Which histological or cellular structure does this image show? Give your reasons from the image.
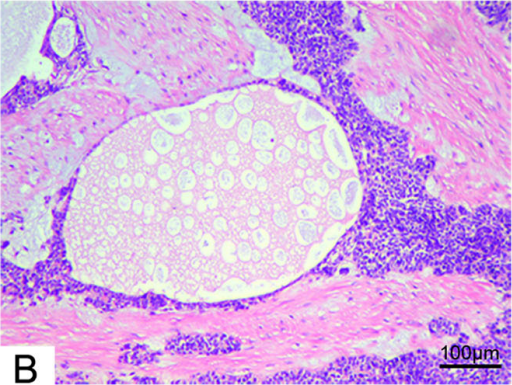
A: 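A large rounded cavity is lined by a rim of blue tumor cells. The cavity holds many pale round spaces of different sizes.
Answer: cystic formation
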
